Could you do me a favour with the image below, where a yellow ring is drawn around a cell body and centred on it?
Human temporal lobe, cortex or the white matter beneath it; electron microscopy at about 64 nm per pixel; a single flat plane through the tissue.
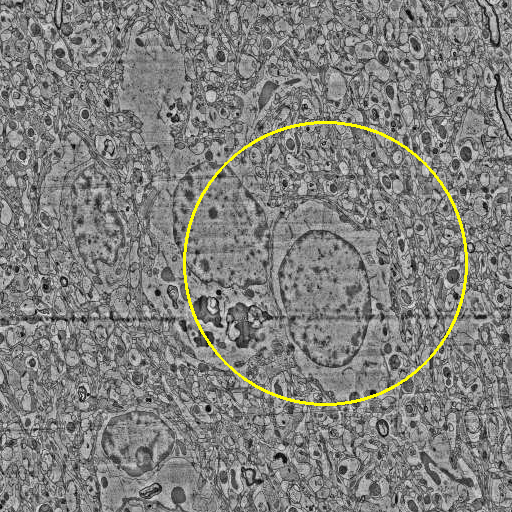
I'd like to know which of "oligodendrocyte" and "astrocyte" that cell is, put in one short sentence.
The cell at the ring's centre is an astrocyte.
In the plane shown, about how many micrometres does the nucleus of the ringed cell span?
About 9 by 6 micrometres in this plane; clearly longer than it is wide.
